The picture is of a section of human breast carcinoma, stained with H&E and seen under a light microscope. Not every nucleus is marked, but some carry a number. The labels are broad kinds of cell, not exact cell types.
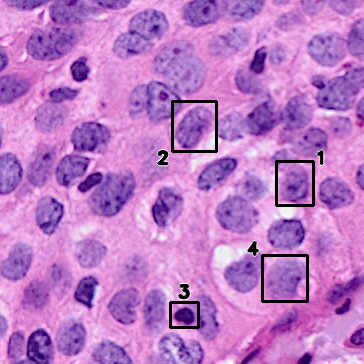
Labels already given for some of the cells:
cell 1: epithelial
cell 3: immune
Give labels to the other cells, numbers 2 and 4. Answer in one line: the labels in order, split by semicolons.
epithelial; epithelial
